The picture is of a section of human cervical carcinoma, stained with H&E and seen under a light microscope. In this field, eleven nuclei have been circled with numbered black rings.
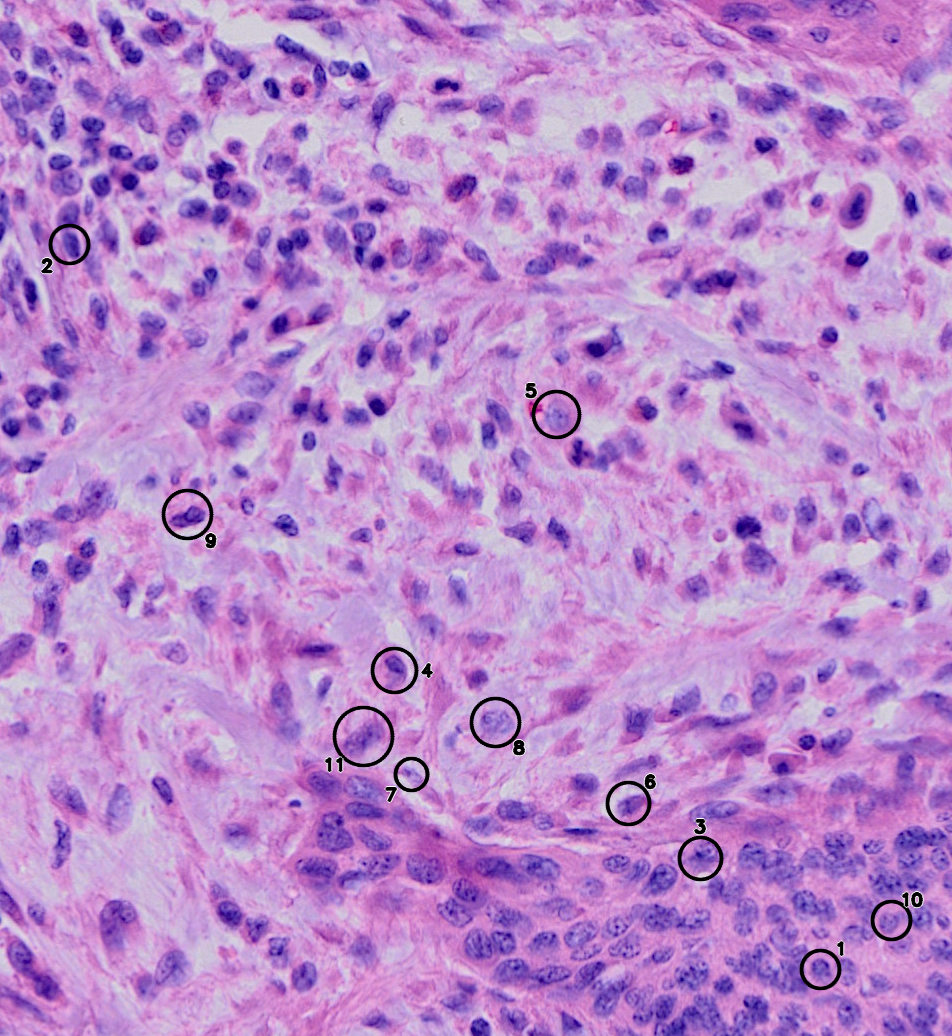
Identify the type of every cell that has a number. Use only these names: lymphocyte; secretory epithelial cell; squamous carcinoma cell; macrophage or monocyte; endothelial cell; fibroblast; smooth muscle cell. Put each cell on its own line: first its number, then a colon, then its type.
1: squamous carcinoma cell
2: lymphocyte
3: squamous carcinoma cell
4: macrophage or monocyte
5: endothelial cell
6: macrophage or monocyte
7: fibroblast
8: fibroblast
9: macrophage or monocyte
10: squamous carcinoma cell
11: fibroblast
